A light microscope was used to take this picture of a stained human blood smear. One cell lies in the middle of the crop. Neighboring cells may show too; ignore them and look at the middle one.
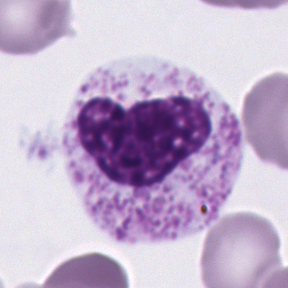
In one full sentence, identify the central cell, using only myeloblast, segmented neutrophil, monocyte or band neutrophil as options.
In this smear crop, the middle cell is a segmented neutrophil.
